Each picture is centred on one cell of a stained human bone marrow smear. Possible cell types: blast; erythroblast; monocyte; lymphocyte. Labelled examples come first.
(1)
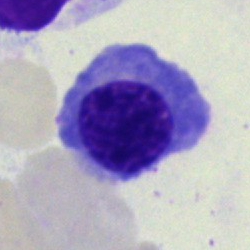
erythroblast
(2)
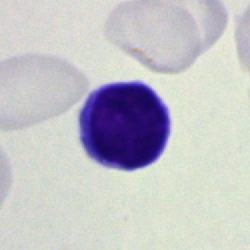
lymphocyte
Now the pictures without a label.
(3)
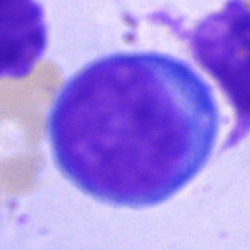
blast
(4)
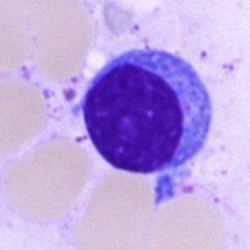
lymphocyte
